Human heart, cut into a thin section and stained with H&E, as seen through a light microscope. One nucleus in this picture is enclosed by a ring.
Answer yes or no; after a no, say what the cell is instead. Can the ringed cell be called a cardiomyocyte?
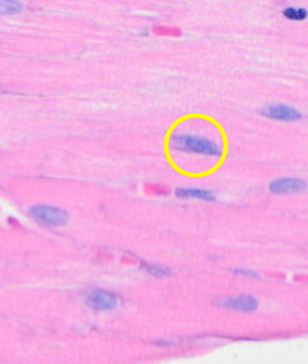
No, it is an endothelial cell.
